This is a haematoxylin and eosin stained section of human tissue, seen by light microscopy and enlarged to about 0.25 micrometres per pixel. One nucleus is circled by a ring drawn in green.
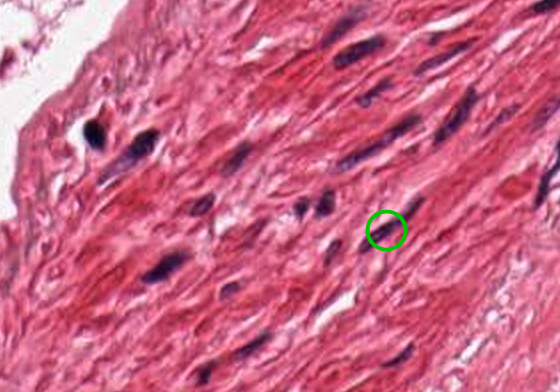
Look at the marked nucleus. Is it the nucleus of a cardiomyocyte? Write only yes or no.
no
